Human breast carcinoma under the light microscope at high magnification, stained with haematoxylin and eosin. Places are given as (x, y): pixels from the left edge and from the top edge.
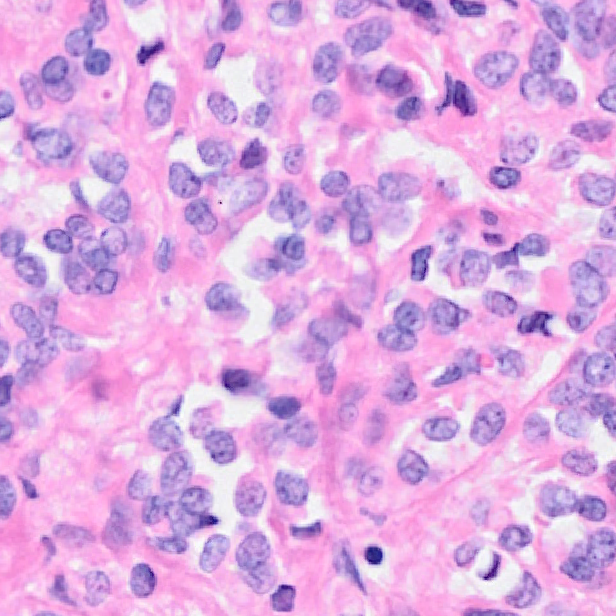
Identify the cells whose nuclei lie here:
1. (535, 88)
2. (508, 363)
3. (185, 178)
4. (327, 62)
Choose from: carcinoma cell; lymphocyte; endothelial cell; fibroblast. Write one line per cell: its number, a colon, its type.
1: carcinoma cell
2: endothelial cell
3: carcinoma cell
4: carcinoma cell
